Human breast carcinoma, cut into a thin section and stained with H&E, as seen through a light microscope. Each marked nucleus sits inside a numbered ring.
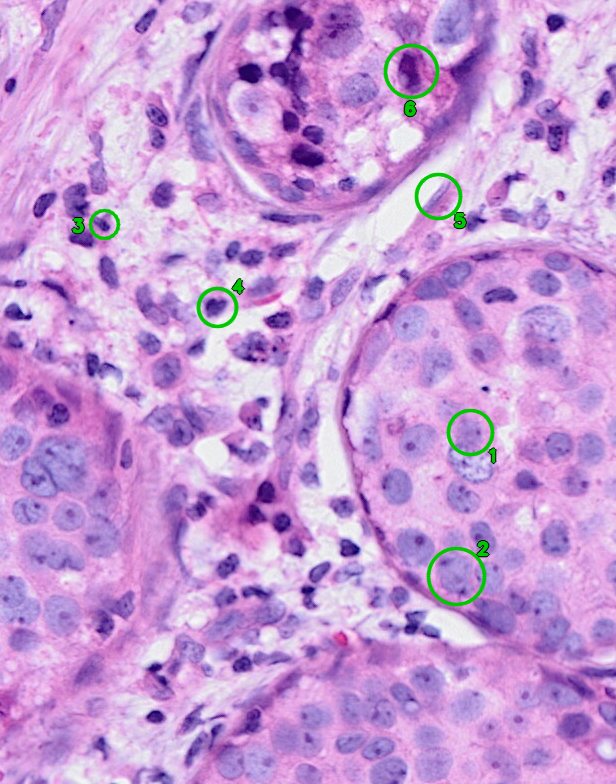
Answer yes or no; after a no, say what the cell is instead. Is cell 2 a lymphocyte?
No, it is a carcinoma cell.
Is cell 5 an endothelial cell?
Yes.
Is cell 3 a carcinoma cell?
No, it is a lymphocyte.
